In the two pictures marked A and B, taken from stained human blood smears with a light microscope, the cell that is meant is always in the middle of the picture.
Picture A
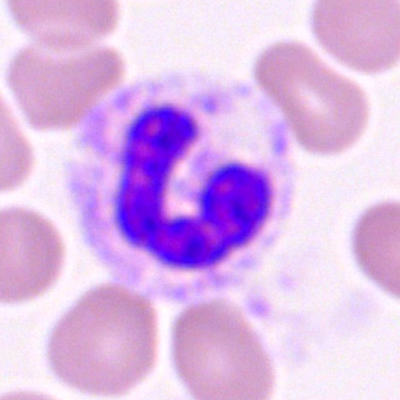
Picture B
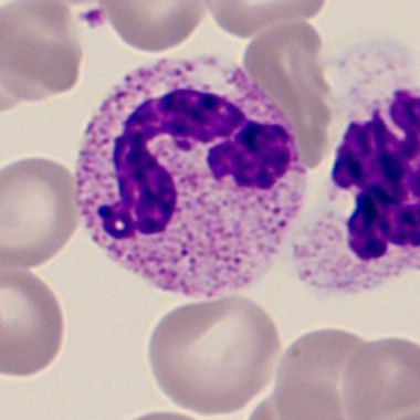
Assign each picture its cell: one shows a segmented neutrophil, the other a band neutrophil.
A: band neutrophil
B: segmented neutrophil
